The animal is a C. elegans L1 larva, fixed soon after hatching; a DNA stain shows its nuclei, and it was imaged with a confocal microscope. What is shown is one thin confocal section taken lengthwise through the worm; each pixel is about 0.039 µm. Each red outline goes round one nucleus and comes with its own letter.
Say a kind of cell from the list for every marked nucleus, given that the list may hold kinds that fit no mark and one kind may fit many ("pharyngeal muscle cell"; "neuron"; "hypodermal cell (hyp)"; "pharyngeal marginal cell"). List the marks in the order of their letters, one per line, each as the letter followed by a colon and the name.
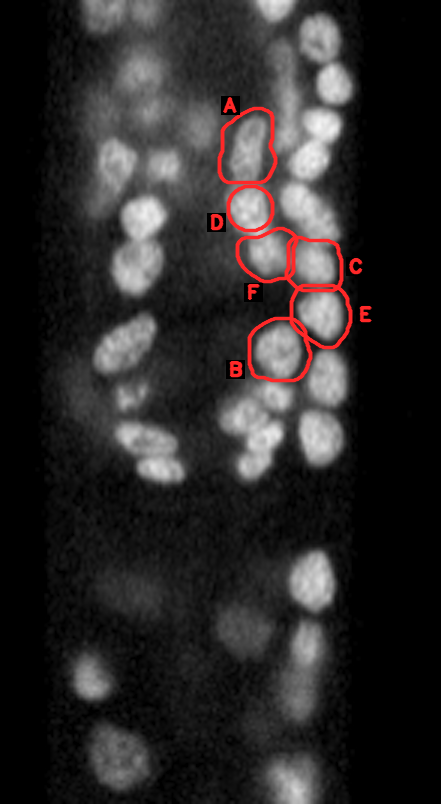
A: pharyngeal marginal cell
B: pharyngeal marginal cell
C: neuron
D: pharyngeal muscle cell
E: neuron
F: neuron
